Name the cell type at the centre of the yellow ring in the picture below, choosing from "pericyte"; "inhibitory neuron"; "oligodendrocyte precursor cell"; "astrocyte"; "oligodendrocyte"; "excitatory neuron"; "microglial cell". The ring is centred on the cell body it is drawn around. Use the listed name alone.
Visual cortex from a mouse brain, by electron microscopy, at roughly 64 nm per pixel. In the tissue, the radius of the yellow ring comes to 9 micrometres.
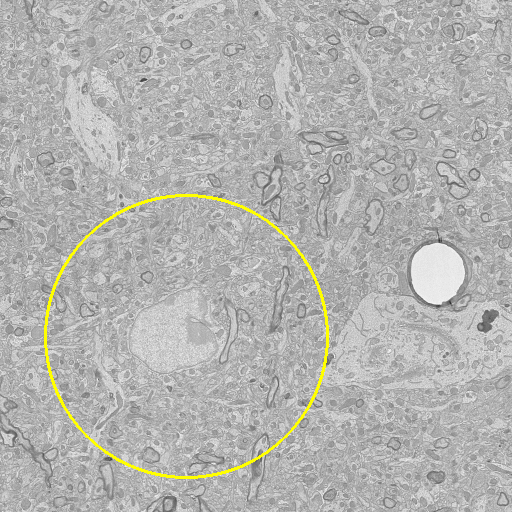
oligodendrocyte precursor cell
